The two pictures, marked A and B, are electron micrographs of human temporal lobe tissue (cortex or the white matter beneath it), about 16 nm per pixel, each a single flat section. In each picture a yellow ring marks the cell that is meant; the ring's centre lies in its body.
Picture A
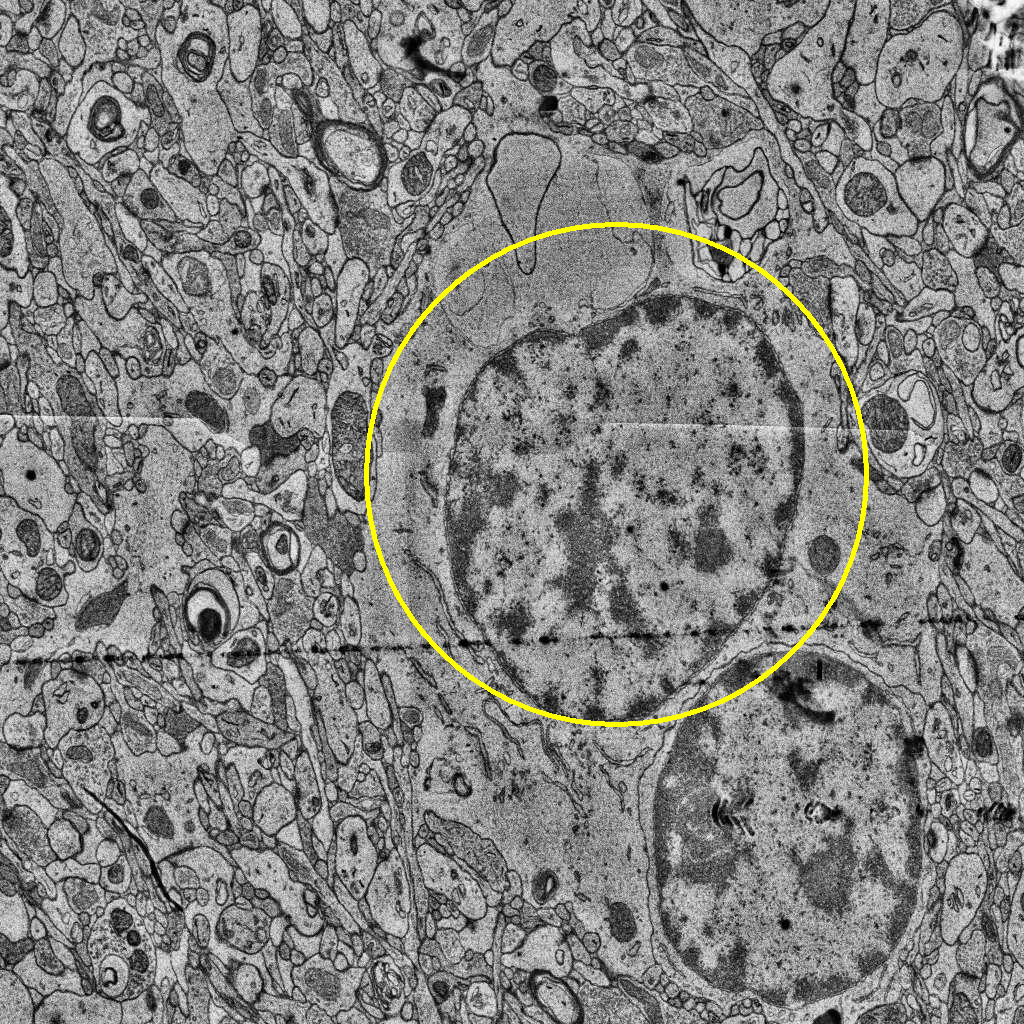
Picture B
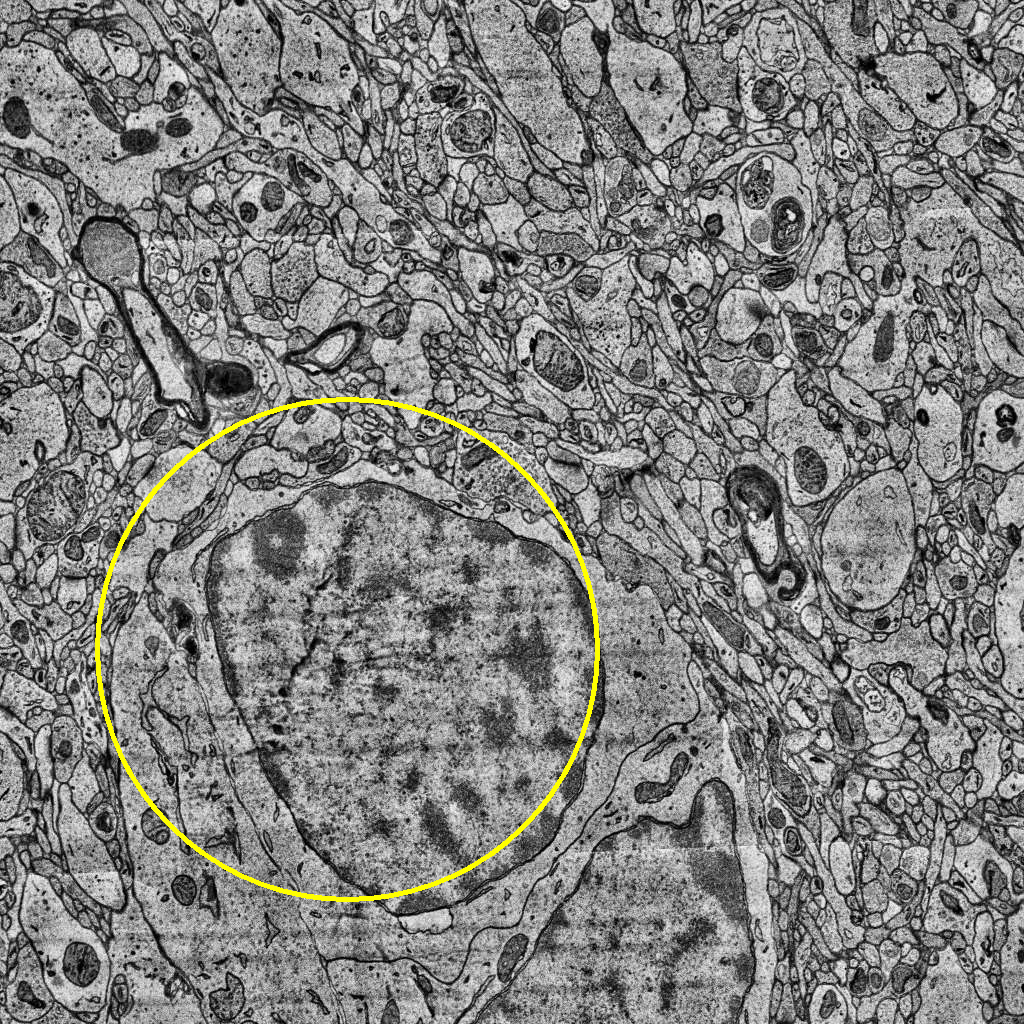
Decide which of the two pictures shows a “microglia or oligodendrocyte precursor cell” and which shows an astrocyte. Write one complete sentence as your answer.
It is picture A that shows an astrocyte, and picture B that shows a “microglia or oligodendrocyte precursor cell”.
